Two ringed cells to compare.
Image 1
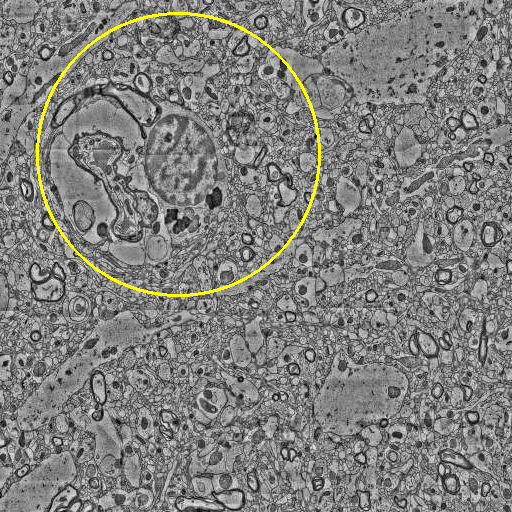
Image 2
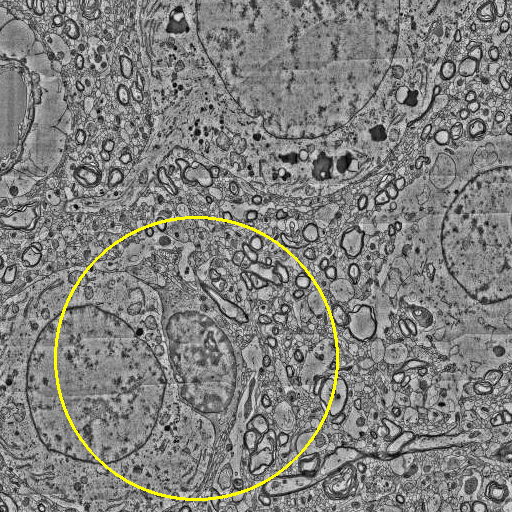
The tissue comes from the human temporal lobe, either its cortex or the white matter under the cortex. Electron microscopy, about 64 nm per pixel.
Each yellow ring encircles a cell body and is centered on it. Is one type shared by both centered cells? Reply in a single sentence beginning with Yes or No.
Yes, a single type is shared by the two cells at the centers of the rings.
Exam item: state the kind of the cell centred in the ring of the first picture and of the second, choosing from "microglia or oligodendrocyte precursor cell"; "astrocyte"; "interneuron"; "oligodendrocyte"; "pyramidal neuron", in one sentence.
The ring centre holds an oligodendrocyte in each of the two pictures.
